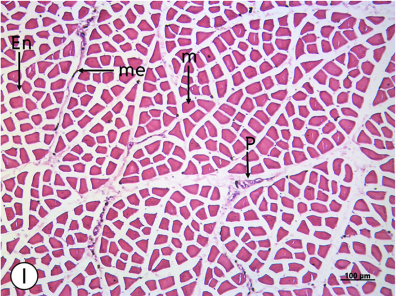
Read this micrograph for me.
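Cross-section of striated muscle showing many small polygonal pink muscle fibers packed into bundles. Each fiber is separated from its neighbours by a thin pale sheath, and broader pale connective tissue bands divide the bundles. The fiber interiors stay uniformly pink.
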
